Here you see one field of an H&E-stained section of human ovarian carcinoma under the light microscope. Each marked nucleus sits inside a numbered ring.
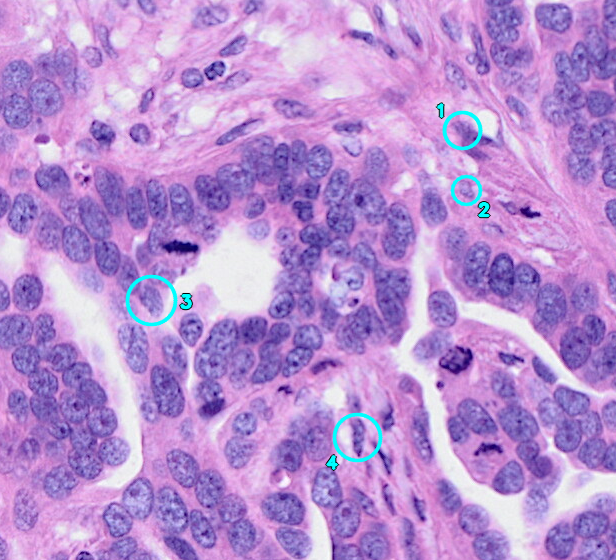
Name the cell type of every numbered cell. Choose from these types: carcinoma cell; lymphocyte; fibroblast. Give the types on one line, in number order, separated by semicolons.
fibroblast; fibroblast; carcinoma cell; fibroblast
